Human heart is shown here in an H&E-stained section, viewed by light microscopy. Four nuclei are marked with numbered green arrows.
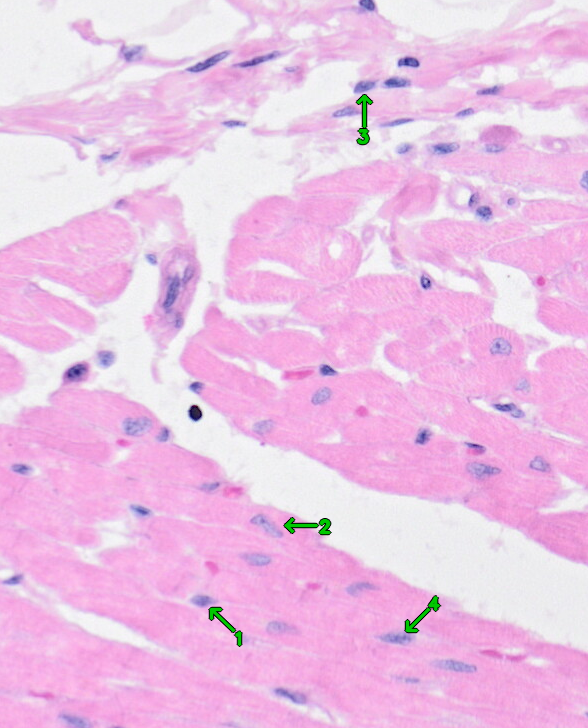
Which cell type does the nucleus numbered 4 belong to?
endothelial cell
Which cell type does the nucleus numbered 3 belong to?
fibroblast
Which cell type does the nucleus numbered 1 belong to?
endothelial cell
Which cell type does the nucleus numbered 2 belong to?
cardiomyocyte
